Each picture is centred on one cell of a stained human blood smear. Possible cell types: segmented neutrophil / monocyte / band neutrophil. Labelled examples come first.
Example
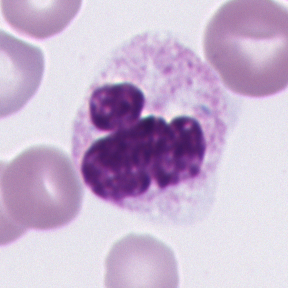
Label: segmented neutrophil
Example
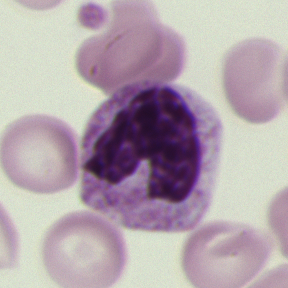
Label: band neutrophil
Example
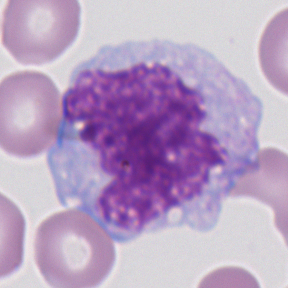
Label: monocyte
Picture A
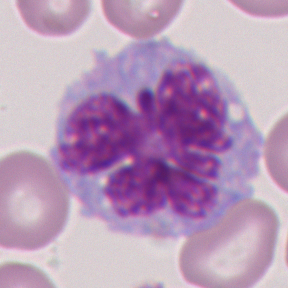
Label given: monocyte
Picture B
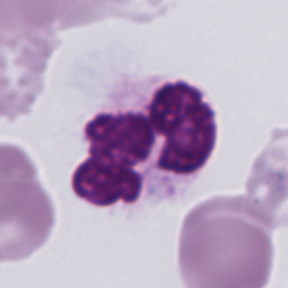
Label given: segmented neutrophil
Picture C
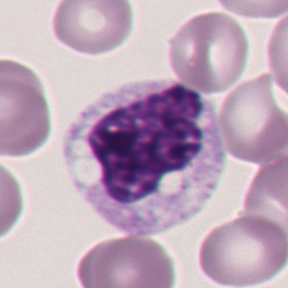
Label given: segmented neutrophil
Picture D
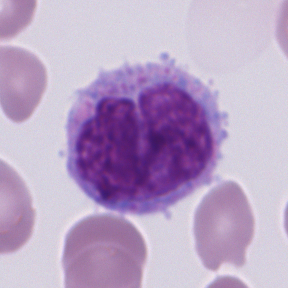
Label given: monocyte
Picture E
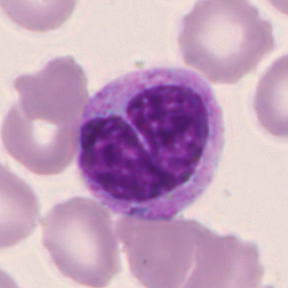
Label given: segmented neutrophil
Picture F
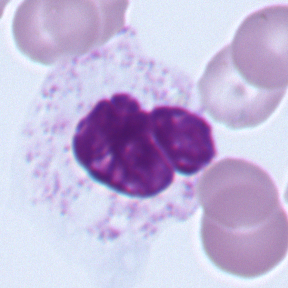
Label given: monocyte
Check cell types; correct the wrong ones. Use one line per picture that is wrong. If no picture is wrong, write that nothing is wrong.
E: not segmented neutrophil but band neutrophil
F: not monocyte but segmented neutrophil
